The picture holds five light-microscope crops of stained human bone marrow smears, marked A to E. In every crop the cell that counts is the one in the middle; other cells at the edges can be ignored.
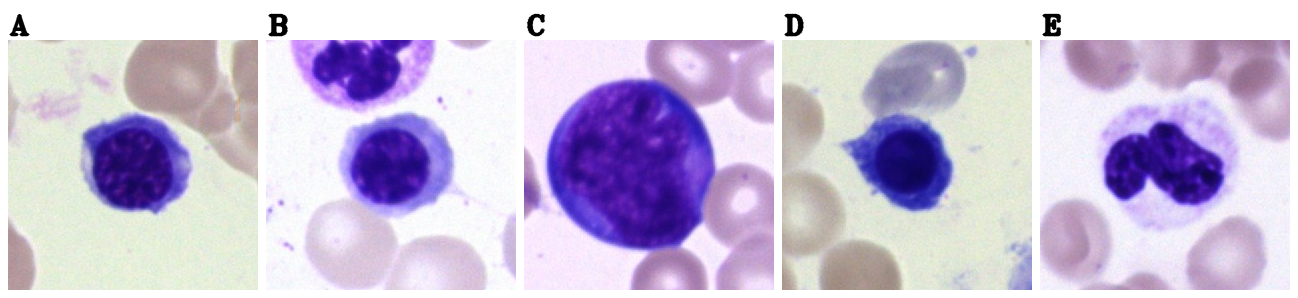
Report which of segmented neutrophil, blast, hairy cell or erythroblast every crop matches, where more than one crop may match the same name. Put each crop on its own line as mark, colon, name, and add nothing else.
A: erythroblast
B: erythroblast
C: blast
D: erythroblast
E: segmented neutrophil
